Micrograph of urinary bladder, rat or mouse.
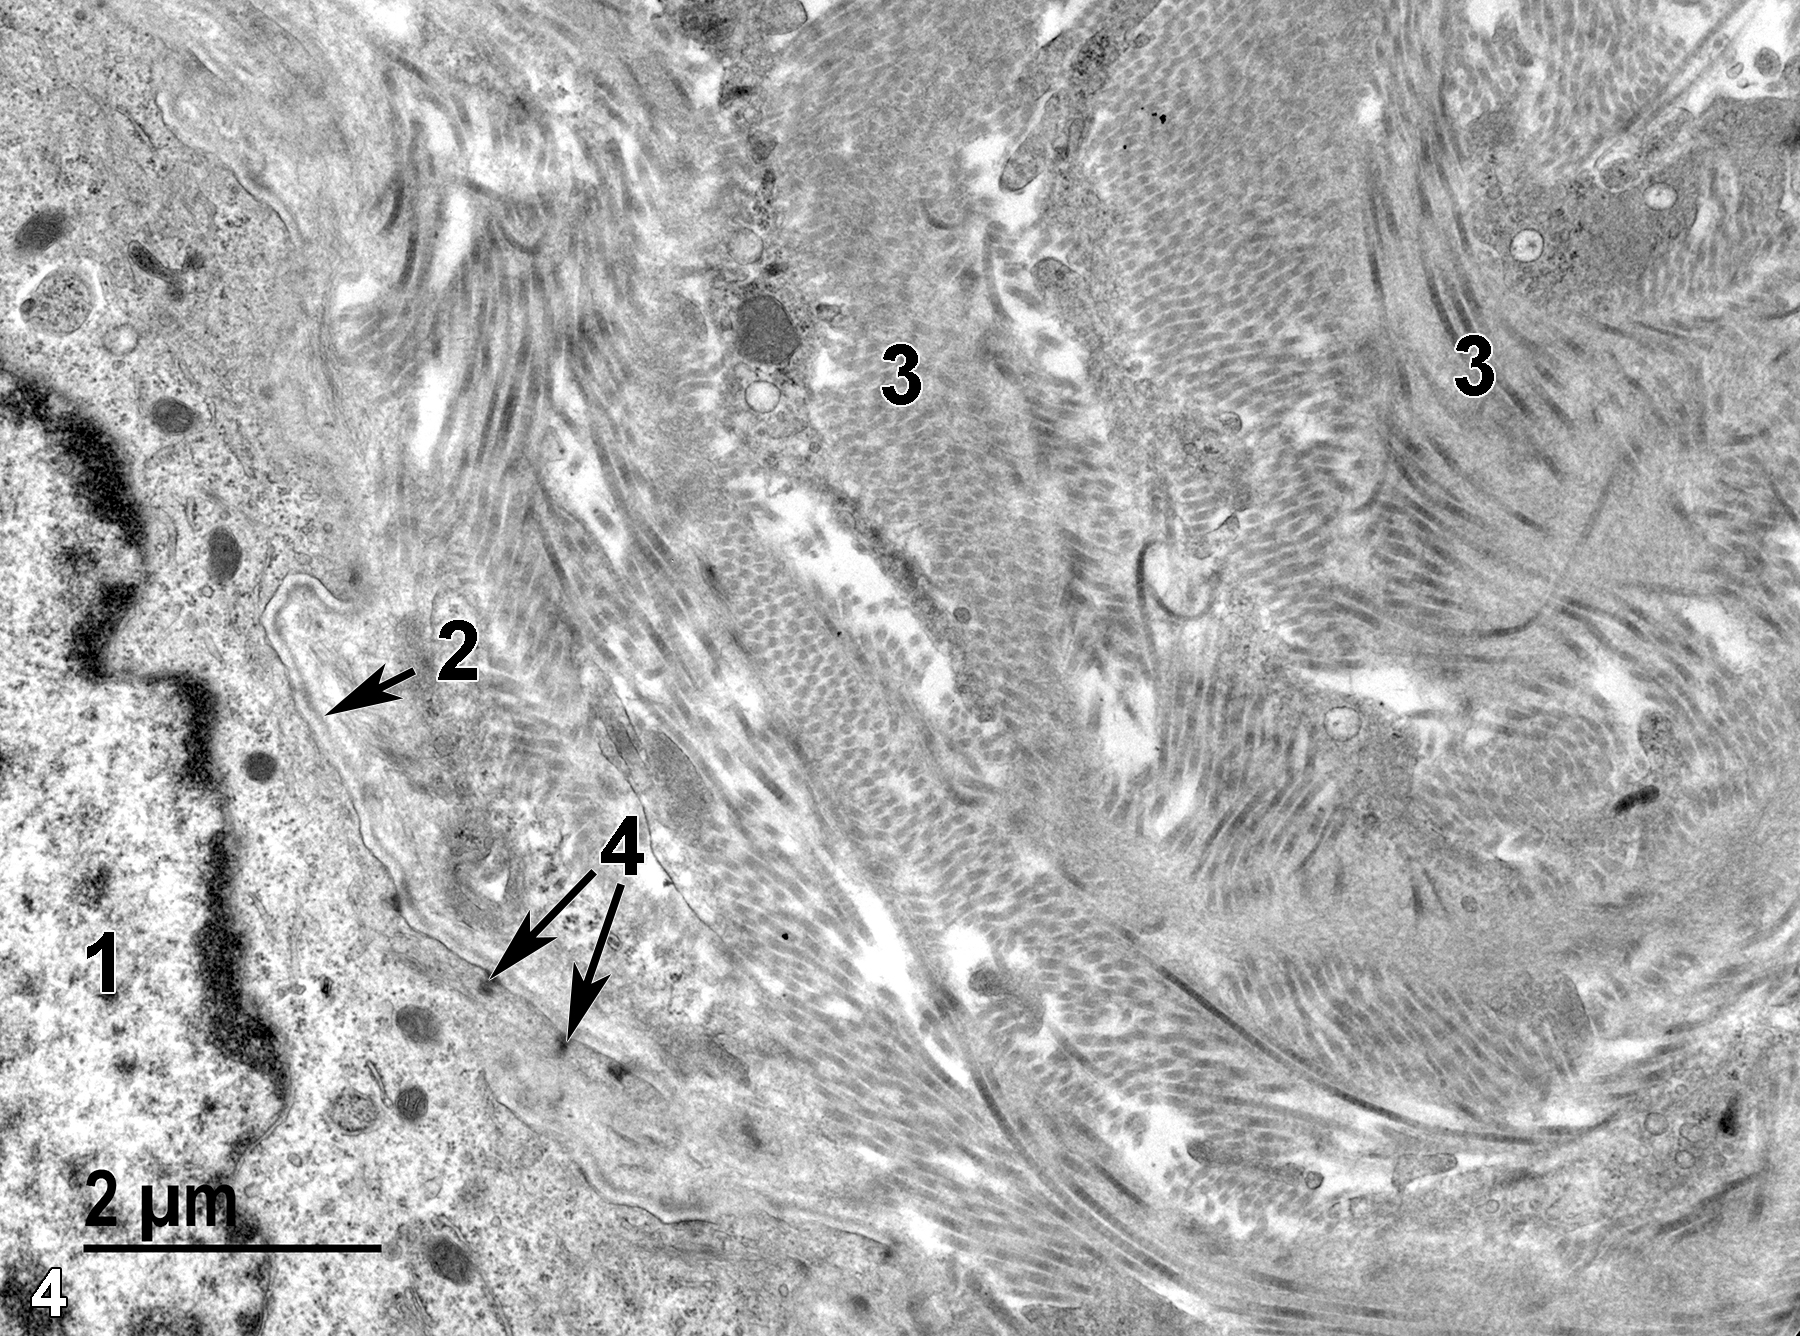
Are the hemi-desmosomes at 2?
No, 2 marks the basal lamina.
